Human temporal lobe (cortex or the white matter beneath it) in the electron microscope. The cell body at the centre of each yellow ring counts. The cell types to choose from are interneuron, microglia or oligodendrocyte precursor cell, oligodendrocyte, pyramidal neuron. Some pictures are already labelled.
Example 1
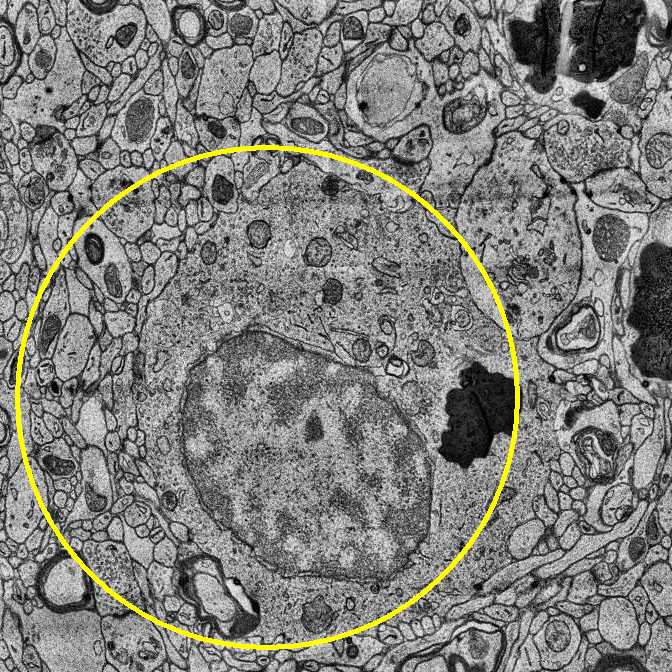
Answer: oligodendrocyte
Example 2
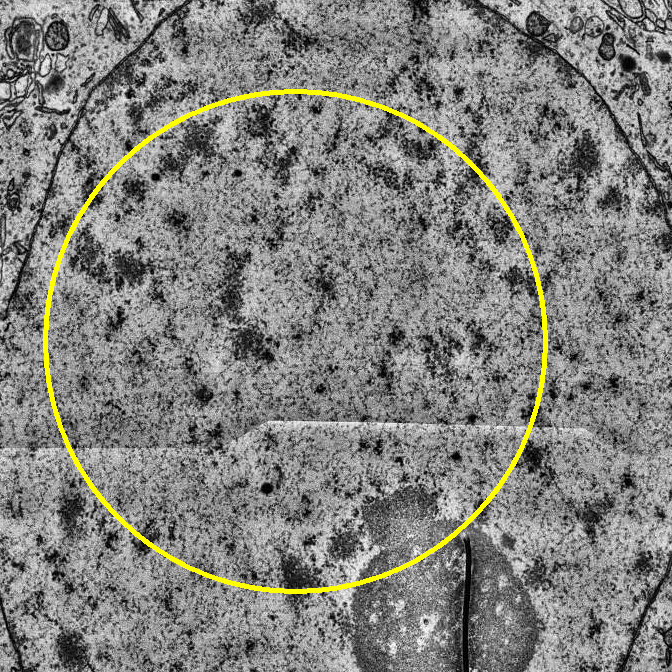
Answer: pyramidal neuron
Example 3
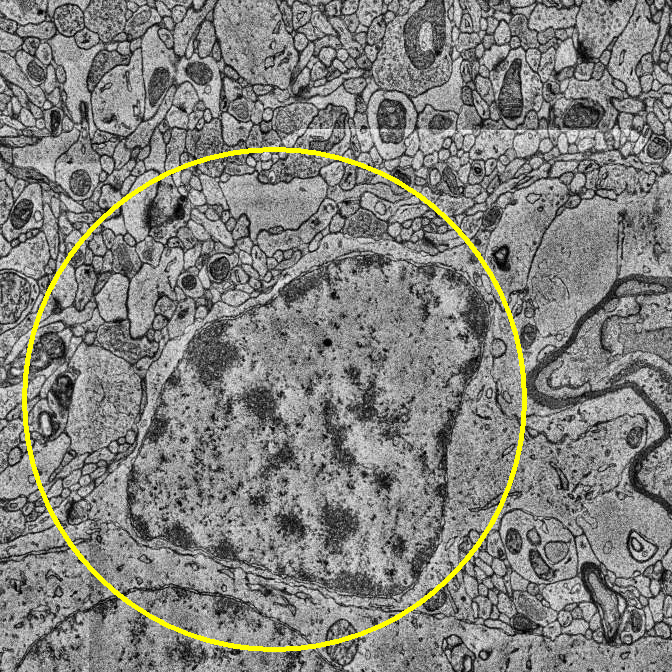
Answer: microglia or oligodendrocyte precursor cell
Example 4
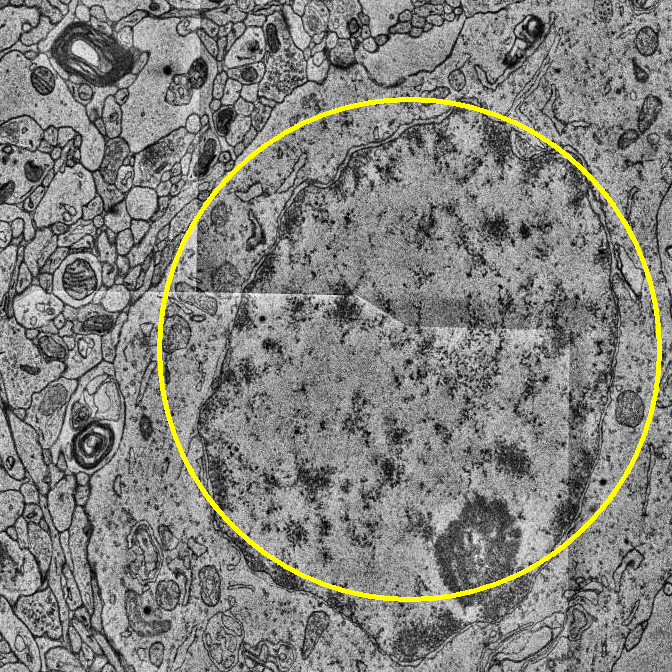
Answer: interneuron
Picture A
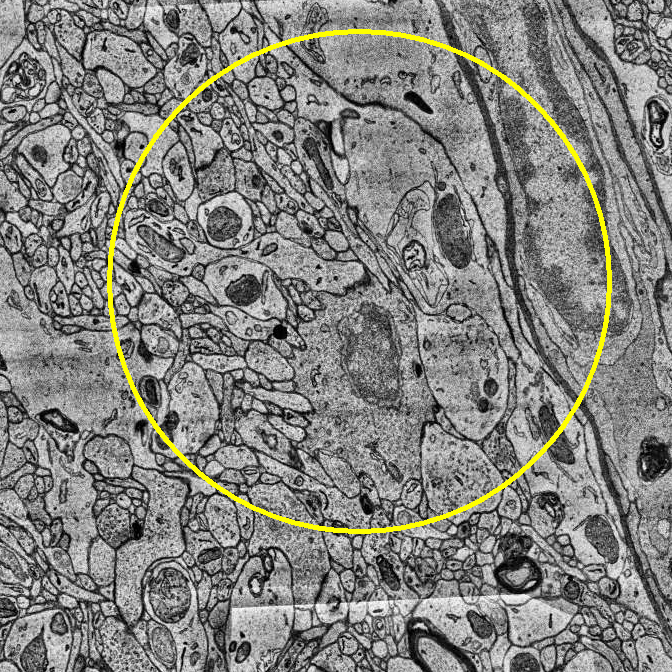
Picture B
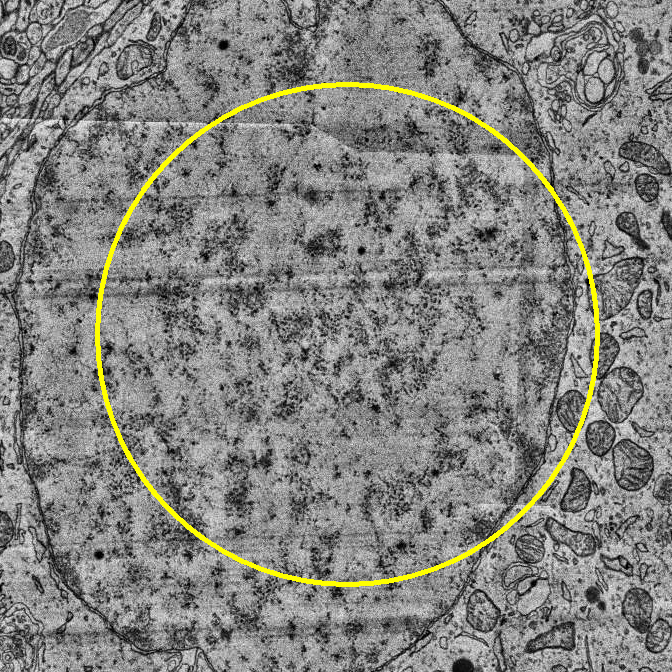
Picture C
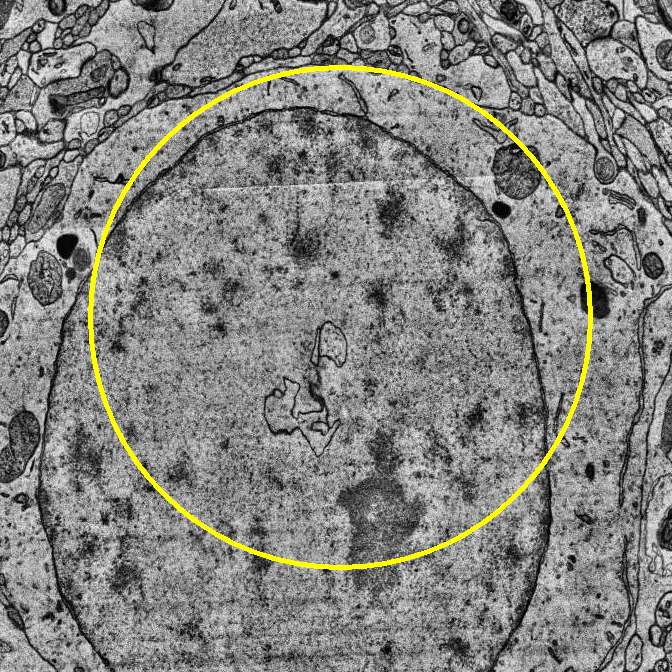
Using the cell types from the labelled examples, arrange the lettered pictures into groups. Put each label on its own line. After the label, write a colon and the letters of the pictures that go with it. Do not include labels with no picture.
interneuron: B
oligodendrocyte: A
pyramidal neuron: C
